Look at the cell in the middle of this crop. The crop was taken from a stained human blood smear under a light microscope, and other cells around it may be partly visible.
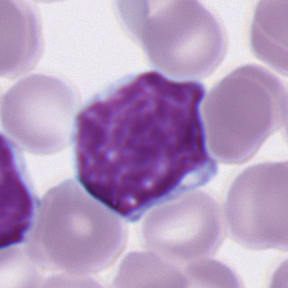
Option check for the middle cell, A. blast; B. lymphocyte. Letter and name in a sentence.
What sits in the middle of the crop is a lymphocyte, and option B is correct.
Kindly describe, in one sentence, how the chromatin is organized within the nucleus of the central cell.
The chromatin is delicate and fine, lacking coarse clumping entirely.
